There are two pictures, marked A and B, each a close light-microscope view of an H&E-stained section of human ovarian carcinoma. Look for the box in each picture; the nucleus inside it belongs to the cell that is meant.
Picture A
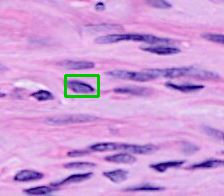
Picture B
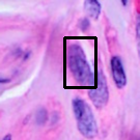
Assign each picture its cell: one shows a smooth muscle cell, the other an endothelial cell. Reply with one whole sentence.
Picture B shows an endothelial cell, while picture A shows a smooth muscle cell.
